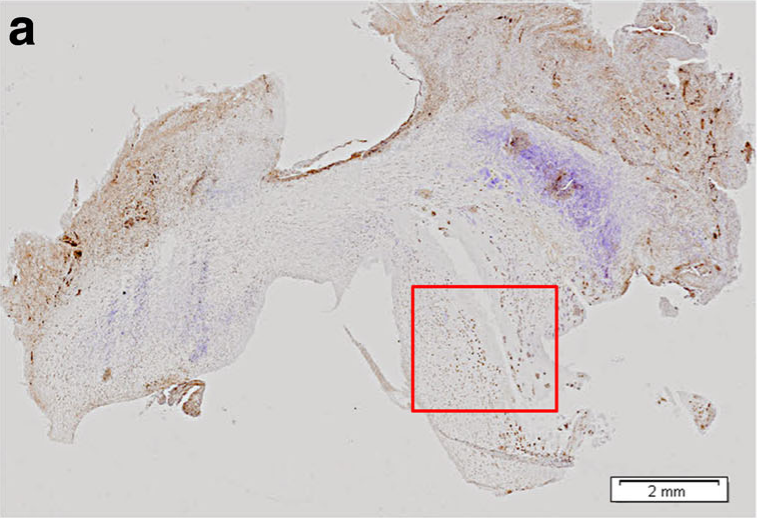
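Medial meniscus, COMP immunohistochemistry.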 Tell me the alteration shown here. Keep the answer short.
A tear.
